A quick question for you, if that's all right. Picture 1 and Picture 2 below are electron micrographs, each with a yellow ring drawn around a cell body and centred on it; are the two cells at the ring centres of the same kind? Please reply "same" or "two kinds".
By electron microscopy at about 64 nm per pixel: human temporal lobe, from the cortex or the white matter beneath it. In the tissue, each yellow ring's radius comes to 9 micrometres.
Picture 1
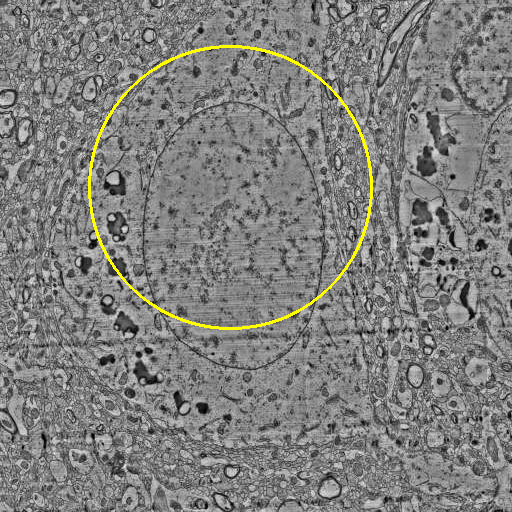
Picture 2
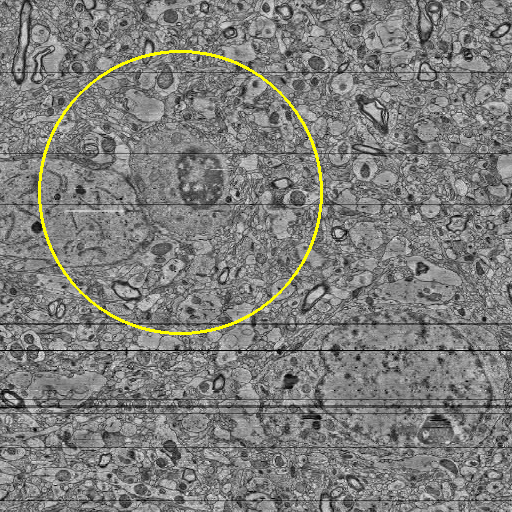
two kinds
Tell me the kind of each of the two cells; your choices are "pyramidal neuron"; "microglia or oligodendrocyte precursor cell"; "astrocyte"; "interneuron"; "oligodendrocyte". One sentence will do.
The ringed cell is a pyramidal neuron in the first picture and an oligodendrocyte in the second picture.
